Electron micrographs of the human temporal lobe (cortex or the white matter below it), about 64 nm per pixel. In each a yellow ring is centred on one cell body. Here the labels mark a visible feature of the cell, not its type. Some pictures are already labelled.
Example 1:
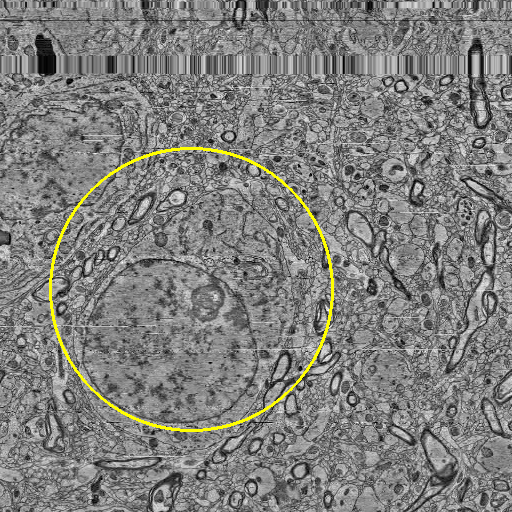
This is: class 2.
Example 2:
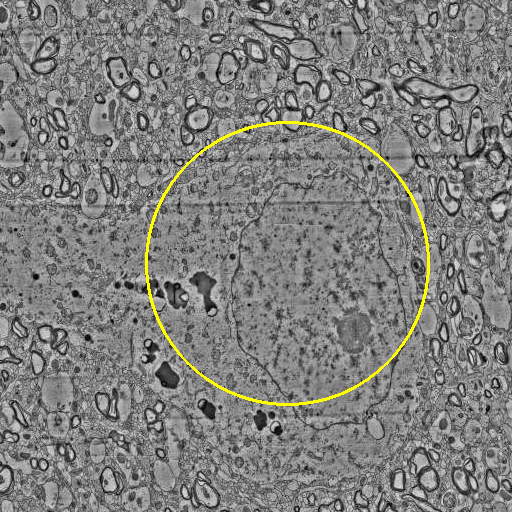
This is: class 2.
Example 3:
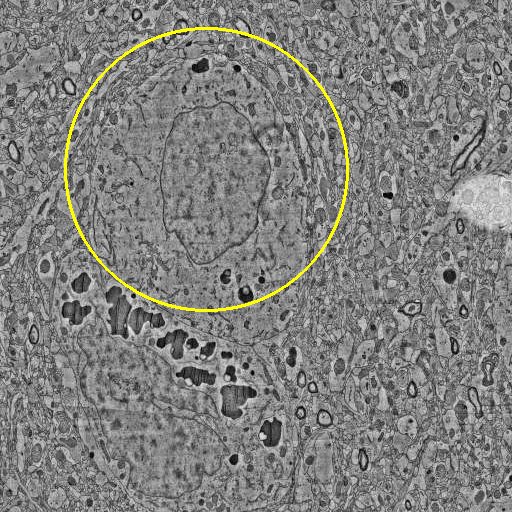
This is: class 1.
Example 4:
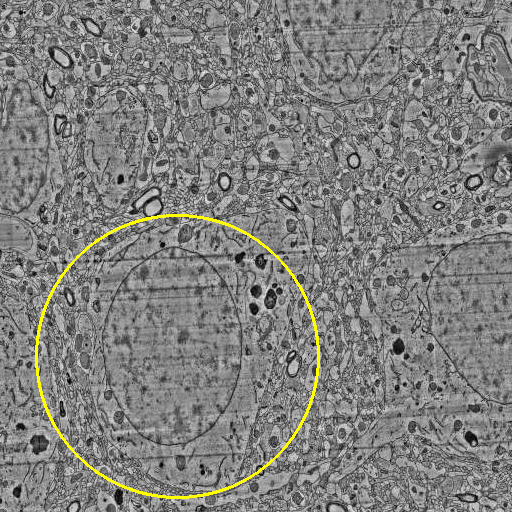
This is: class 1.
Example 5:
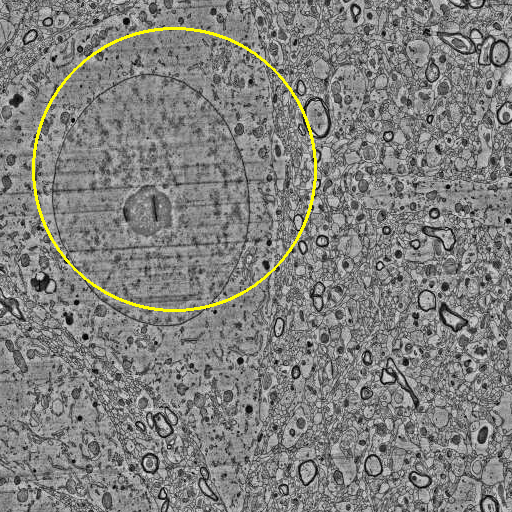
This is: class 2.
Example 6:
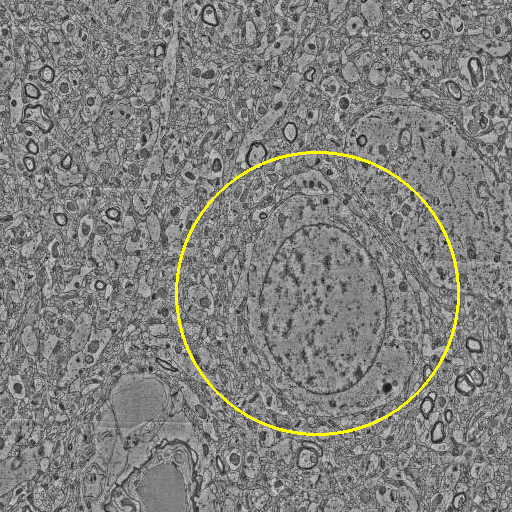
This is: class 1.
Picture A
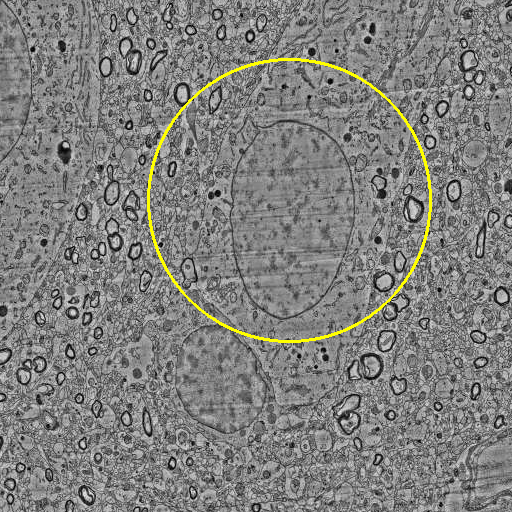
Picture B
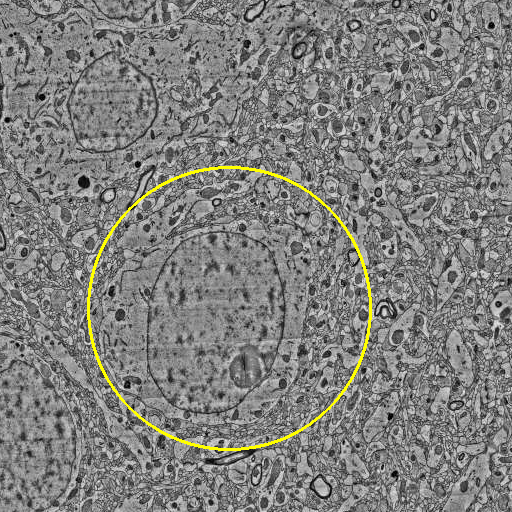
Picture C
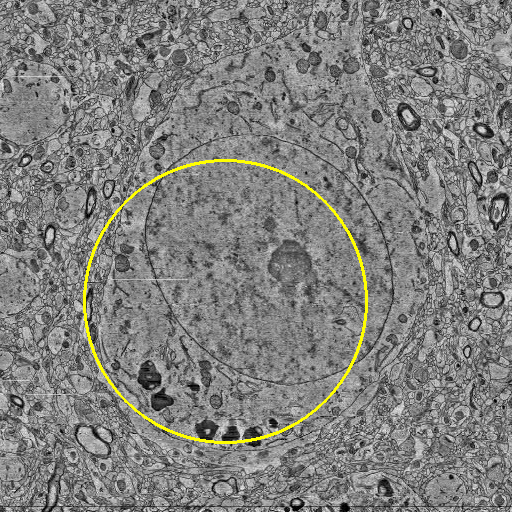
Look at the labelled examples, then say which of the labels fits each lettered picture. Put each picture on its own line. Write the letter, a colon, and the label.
A: class 1.
B: class 2.
C: class 2.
